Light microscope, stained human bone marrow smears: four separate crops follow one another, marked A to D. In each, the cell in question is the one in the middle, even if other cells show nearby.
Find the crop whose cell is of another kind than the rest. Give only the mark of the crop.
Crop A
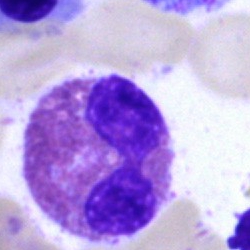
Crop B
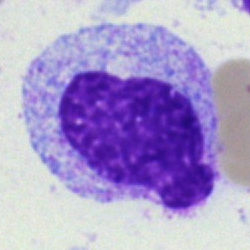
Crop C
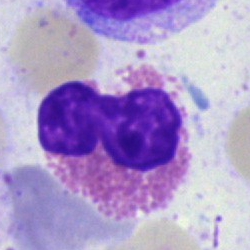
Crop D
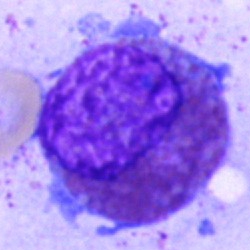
B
